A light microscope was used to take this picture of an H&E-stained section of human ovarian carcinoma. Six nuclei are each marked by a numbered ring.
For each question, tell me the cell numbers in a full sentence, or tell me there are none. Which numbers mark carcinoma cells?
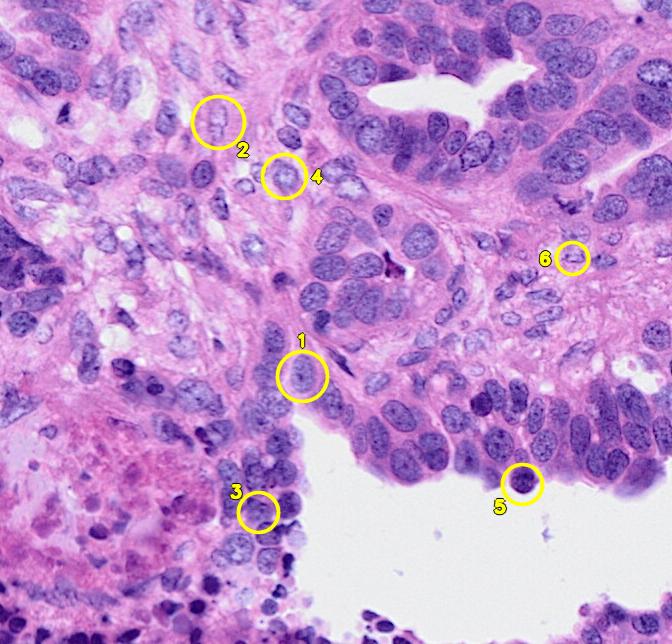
The cells shown with numbers 1, 3 and 5 are carcinoma cells.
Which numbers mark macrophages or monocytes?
All of the numbered cells are cells other than macrophages or monocytes.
